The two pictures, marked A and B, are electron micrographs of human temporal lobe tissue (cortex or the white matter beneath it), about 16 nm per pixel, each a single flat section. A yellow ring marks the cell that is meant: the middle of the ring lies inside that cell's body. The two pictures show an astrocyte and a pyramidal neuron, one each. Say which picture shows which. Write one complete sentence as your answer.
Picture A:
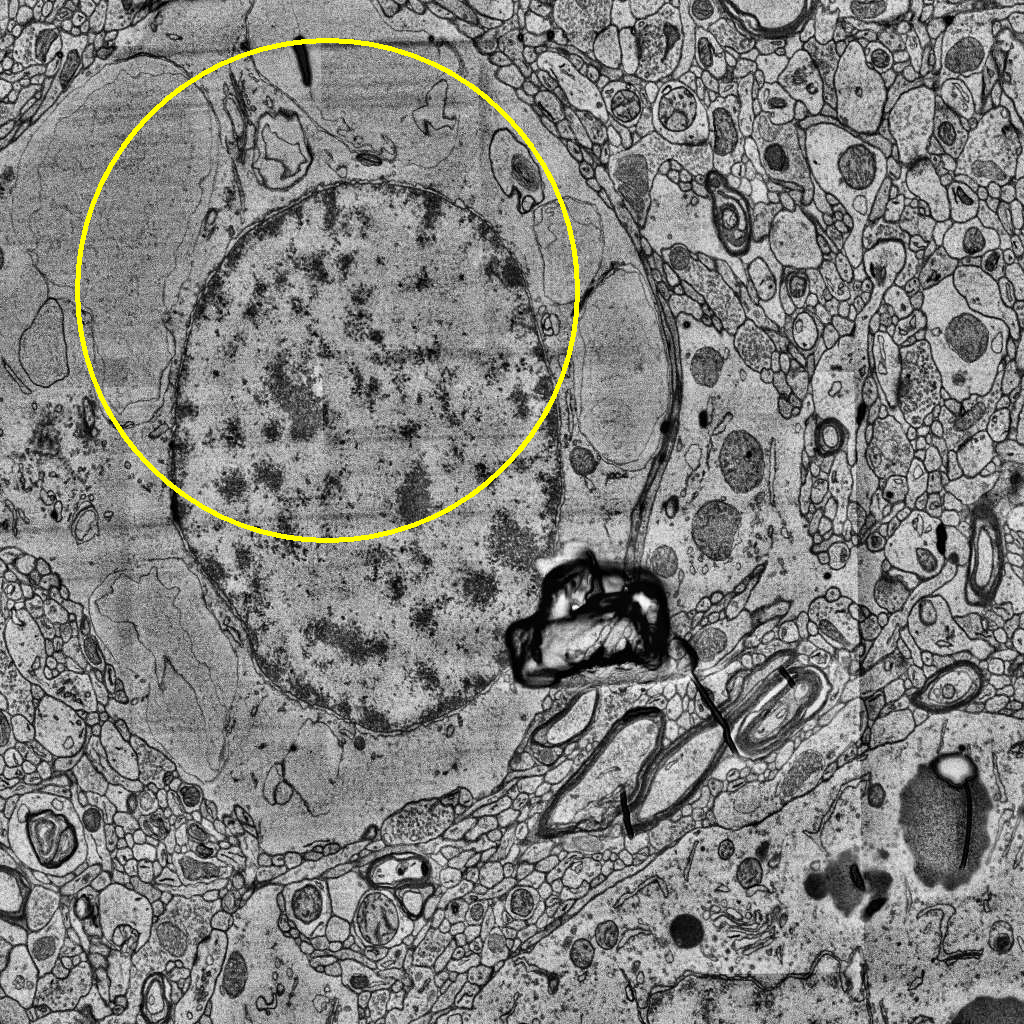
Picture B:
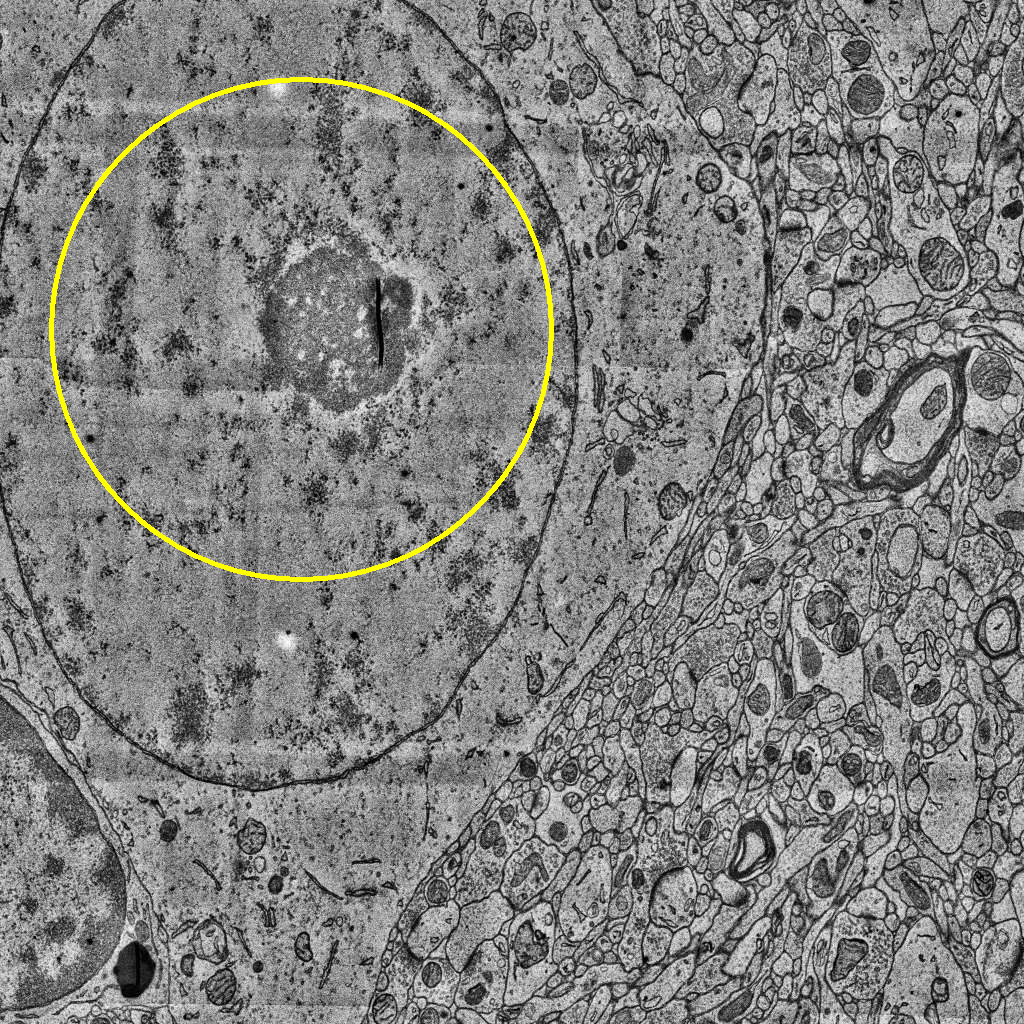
In picture A the cell is an astrocyte; in picture B, a pyramidal neuron.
